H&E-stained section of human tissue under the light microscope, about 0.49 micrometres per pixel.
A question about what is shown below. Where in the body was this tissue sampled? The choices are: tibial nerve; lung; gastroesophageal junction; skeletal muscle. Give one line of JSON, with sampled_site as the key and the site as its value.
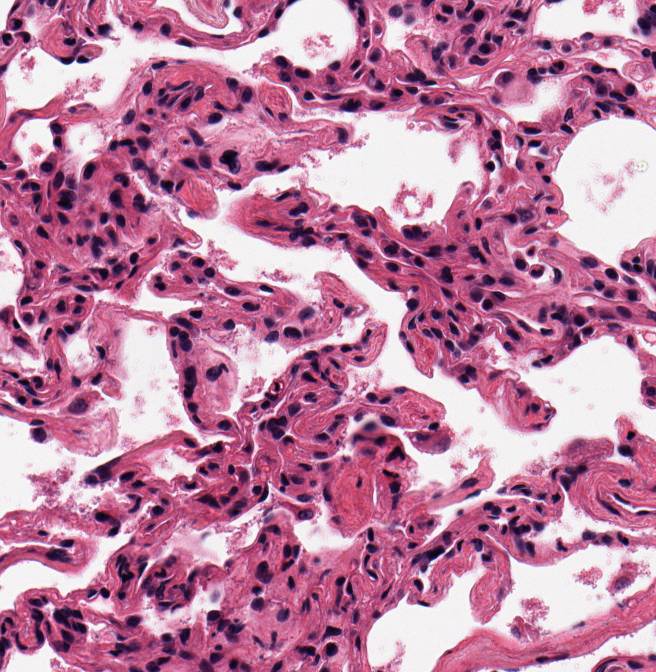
{"sampled_site": "lung"}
